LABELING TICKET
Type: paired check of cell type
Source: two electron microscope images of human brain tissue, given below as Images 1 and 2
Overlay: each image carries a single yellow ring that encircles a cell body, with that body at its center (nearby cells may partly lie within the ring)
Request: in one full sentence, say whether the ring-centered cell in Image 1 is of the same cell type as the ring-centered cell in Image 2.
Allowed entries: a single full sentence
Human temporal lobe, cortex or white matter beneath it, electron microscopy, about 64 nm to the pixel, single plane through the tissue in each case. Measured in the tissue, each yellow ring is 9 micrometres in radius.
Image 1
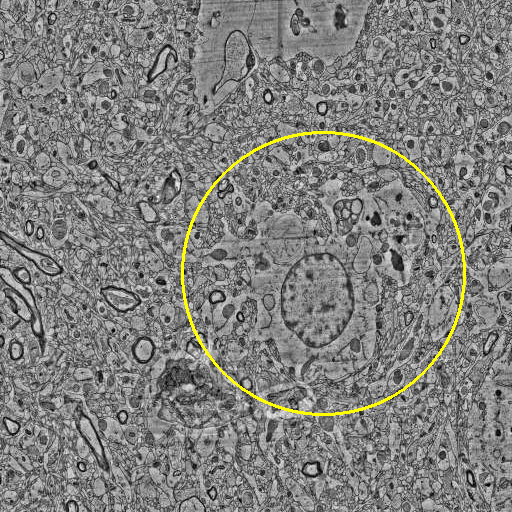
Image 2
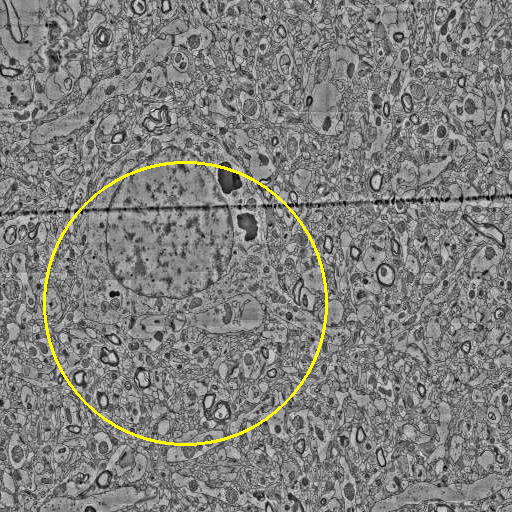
No, the cells centered in the rings of Image 1 and Image 2 are of two types.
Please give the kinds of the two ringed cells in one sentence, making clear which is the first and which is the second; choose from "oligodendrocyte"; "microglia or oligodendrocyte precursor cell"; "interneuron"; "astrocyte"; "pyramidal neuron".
In the second picture the ringed cell is an oligodendrocyte; in the first it is an astrocyte.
